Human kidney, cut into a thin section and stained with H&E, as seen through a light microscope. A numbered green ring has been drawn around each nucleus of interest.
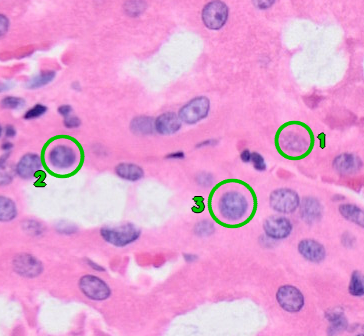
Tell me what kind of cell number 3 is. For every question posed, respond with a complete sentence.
Looking at the numbered marks, cell 3 is a loop of Henle or distal tubule cell.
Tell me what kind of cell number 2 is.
The cell that carries the label 2 is a loop of Henle or distal tubule cell.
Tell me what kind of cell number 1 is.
The numbered cell 1 is identified here as a proximal tubule cell.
